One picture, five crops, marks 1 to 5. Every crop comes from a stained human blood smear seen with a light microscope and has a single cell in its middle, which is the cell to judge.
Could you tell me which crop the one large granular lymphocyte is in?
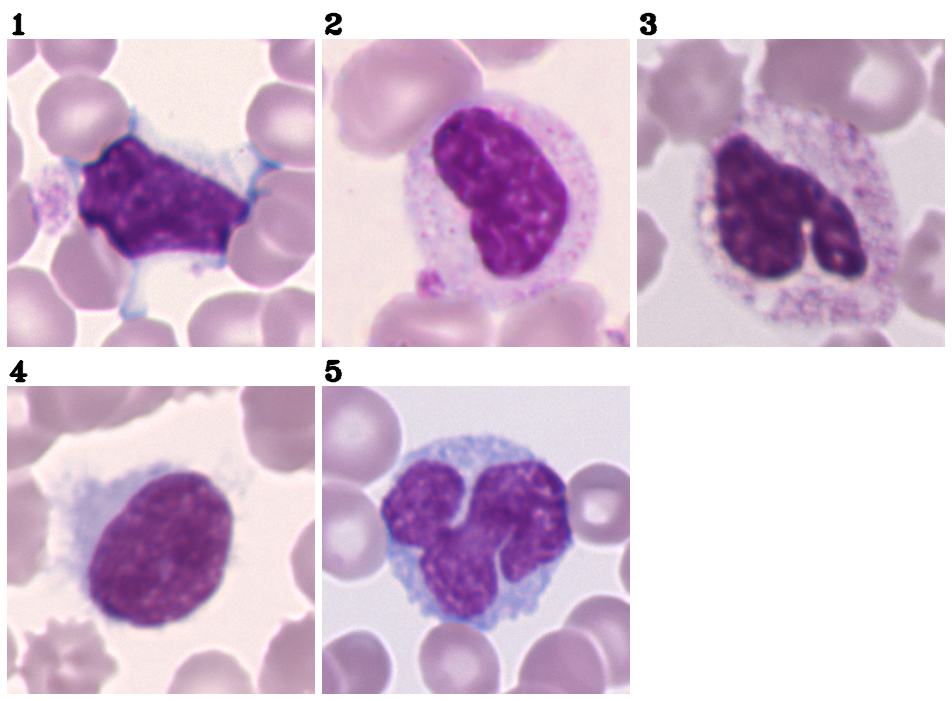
1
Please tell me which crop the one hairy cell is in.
4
